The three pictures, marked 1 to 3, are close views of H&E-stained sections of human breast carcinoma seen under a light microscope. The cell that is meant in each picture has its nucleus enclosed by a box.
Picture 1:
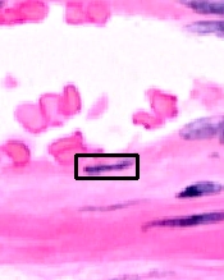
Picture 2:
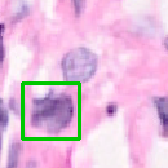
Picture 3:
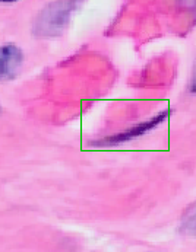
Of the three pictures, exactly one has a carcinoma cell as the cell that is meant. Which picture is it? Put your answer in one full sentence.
The cell in picture 2 is the carcinoma cell.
